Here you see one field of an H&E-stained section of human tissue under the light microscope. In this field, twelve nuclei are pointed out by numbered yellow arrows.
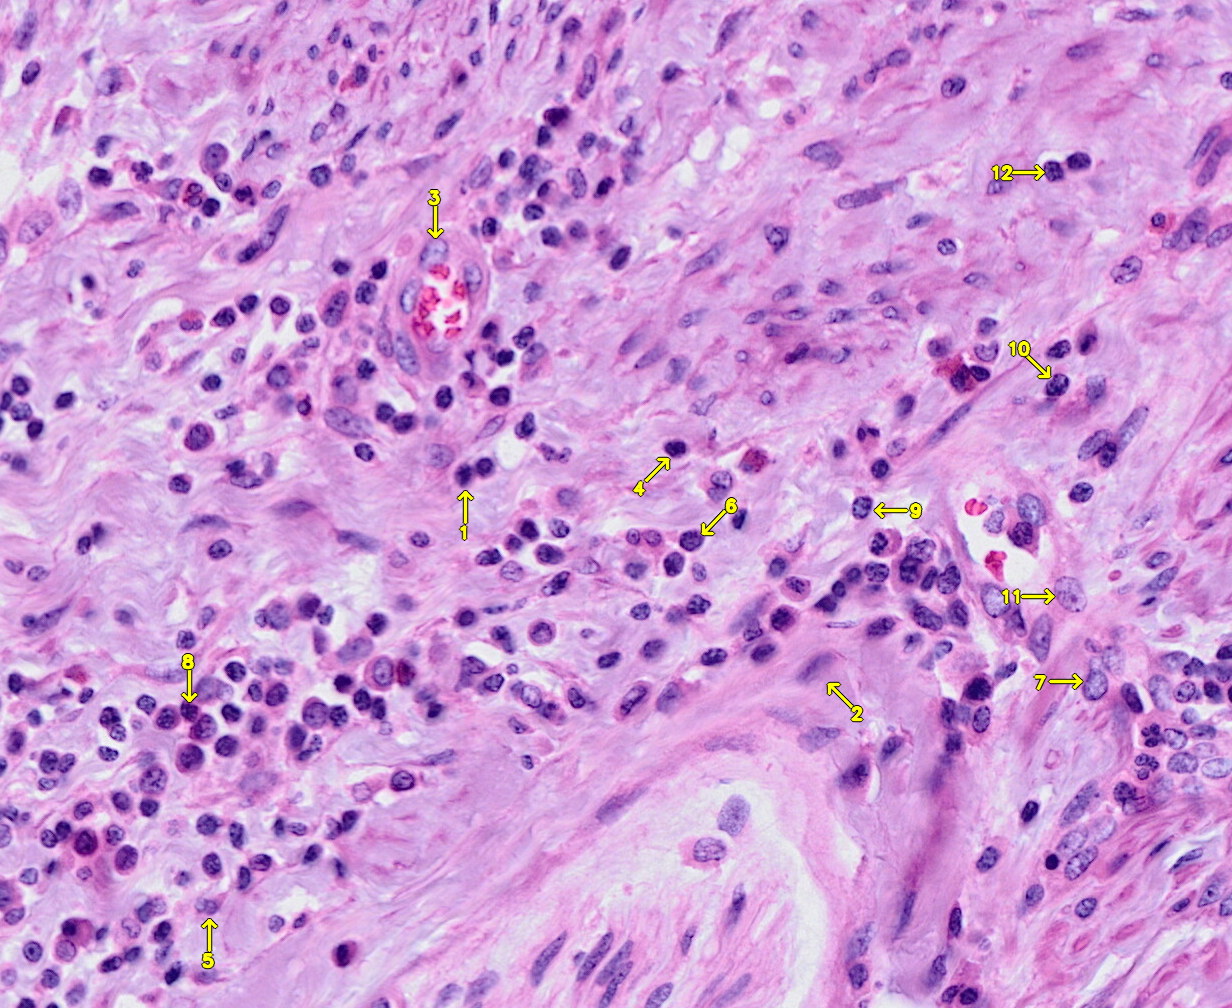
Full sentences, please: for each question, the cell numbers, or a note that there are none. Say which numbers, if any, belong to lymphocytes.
The cells with labels 1, 4, 6, 8, 9, 10 and 12 are lymphocytes.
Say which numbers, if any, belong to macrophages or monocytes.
It is only cell 5 that is a macrophage or monocyte among the numbered cells.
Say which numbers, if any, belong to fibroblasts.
Only the cell with the number 2 is a fibroblast.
